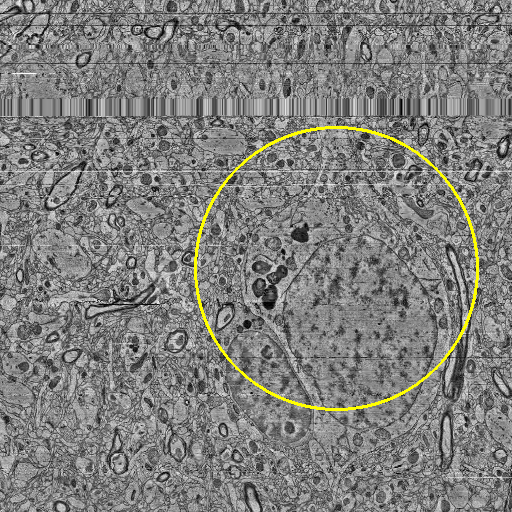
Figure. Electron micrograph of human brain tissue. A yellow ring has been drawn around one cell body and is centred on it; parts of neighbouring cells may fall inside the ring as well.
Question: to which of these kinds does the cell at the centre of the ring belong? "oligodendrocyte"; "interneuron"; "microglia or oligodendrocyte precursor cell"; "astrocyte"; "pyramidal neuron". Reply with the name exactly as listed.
pyramidal neuron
